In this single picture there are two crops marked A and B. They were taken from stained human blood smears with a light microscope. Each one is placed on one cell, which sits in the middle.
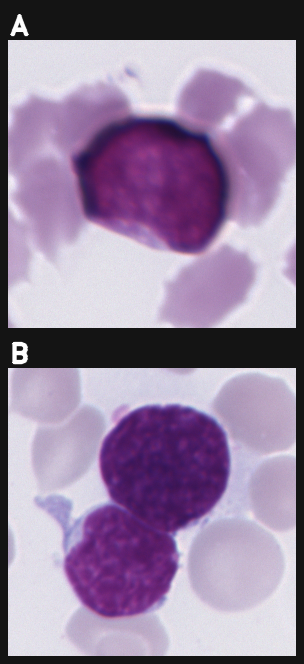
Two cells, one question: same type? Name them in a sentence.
Yes, both crops contain myeloblasts at their centres.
